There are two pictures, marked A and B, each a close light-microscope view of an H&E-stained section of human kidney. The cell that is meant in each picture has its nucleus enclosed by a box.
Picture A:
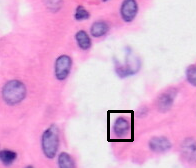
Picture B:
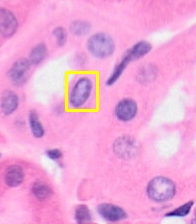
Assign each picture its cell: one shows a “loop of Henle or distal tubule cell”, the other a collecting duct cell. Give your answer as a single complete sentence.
The cell in picture A is a “loop of Henle or distal tubule cell”, and the one in picture B is a collecting duct cell.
